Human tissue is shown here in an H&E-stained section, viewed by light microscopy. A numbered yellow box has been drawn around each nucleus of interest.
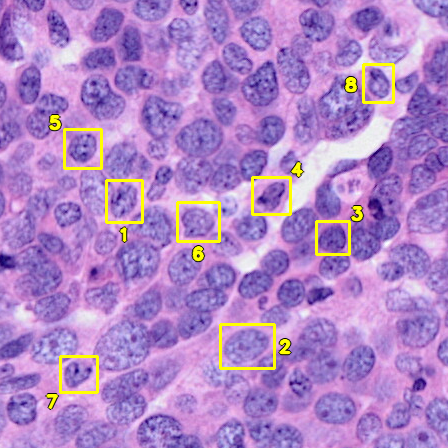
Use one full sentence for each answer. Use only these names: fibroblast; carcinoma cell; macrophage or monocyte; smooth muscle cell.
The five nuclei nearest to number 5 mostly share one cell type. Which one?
Most of the five nuclei nearest to number 5 are those of carcinoma cells.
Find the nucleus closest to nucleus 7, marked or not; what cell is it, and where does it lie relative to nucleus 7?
It is a carcinoma cell, whose nucleus lies above and to the left of nucleus 7.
